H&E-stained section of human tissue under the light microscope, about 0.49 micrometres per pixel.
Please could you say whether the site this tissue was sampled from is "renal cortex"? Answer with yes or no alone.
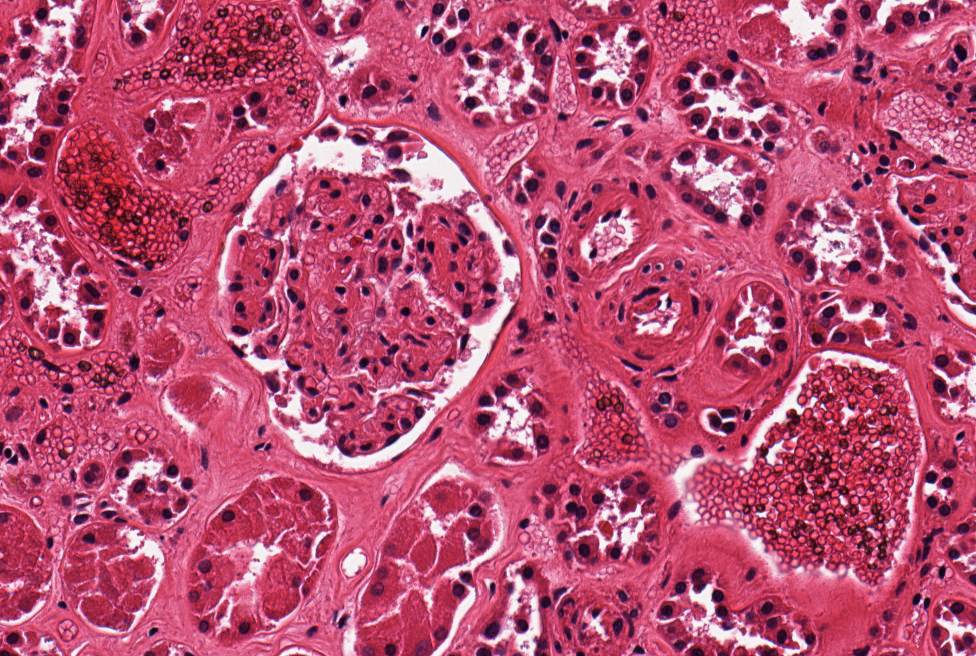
yes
